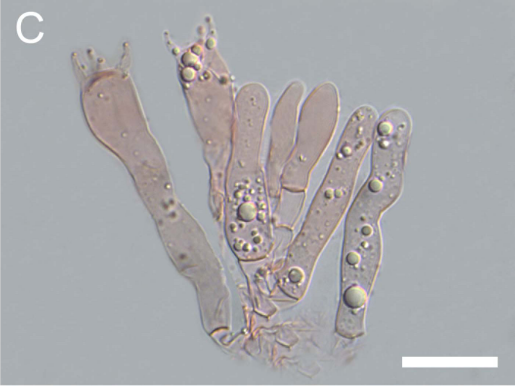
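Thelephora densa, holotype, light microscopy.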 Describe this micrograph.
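A cluster of elongated, club-shaped cells rises from a shared base, their walls faintly pink against a grey background. Two of them carry small slender prongs at their swollen tips, while others are smooth and rounded at the apex. Their cytoplasm holds scattered round, glassy droplets of varying size. These are basidia with sterigmata alongside younger basidioles.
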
